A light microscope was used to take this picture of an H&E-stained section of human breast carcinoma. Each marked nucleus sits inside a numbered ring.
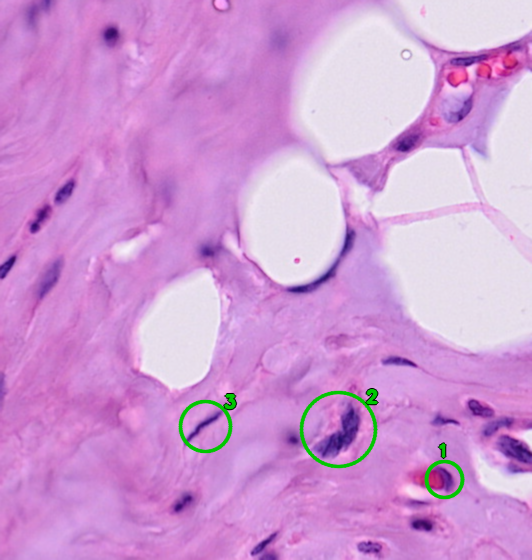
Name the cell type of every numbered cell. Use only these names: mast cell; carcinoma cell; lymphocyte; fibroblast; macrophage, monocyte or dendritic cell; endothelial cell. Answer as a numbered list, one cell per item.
1. endothelial cell
2. fibroblast
3. fibroblast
